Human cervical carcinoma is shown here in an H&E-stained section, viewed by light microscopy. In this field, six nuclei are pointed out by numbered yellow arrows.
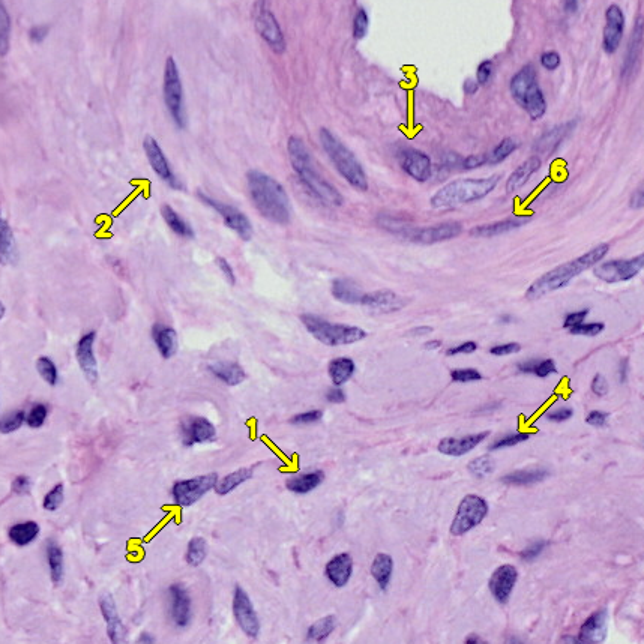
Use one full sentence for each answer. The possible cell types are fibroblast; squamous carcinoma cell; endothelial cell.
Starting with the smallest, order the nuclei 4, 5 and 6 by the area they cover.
From smallest to largest, the order is 4, 6, 5.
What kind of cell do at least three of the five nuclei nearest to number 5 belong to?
The majority of the five nuclei closest to number 5 belong to fibroblasts.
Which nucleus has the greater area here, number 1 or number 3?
Nucleus 3 is larger, with an area about 2 times that of nucleus 1.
